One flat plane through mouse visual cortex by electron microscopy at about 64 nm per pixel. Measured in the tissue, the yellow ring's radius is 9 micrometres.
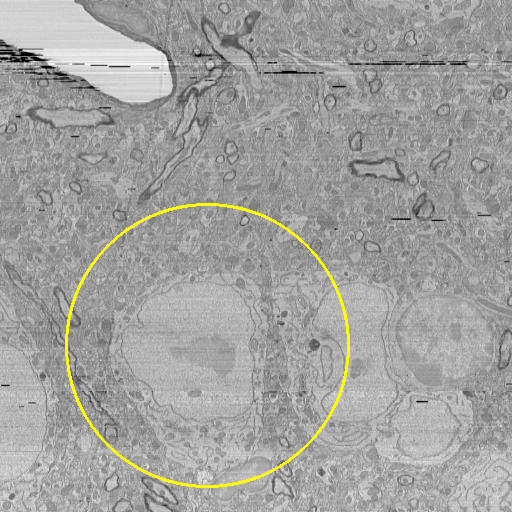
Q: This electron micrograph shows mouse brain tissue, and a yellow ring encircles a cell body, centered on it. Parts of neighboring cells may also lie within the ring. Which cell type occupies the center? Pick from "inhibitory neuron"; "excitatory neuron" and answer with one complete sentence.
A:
What sits at the ring's center in this micrograph is an excitatory neuron, among those choices.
